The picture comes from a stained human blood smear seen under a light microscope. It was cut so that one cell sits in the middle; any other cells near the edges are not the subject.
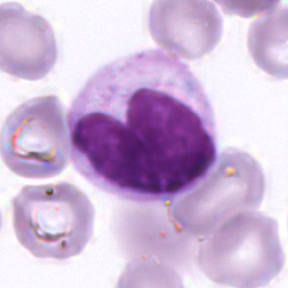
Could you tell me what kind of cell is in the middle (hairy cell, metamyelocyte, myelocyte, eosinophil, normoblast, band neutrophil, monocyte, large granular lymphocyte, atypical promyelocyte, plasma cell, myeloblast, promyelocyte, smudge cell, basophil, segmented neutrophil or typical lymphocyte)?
band neutrophil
